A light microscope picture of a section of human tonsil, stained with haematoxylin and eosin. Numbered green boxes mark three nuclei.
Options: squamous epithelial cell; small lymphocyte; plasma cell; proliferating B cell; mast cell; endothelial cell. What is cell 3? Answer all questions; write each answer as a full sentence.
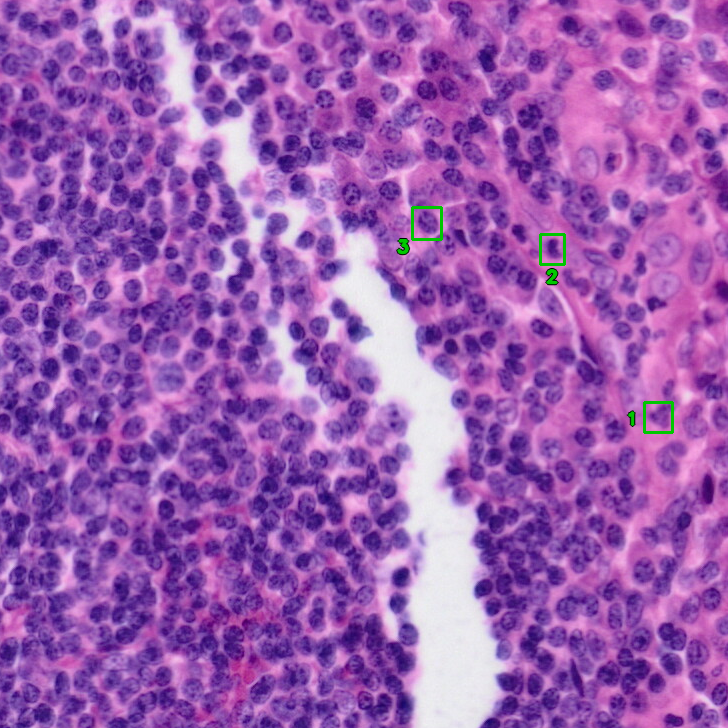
Cell 3 should be recorded as a plasma cell.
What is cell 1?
The cell given label 1 is an endothelial cell.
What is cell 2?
At number 2, the marked cell is an endothelial cell.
